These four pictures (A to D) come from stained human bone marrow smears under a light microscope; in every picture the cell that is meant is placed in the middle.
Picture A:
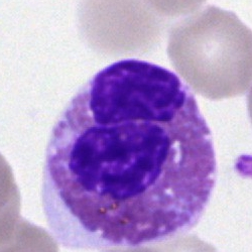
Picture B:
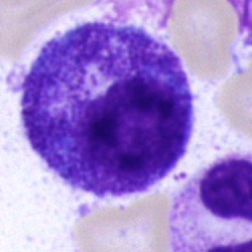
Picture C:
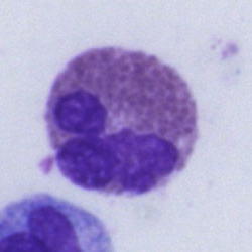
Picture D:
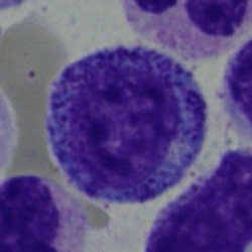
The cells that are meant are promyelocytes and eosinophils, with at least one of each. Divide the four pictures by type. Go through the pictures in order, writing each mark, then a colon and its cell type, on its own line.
A: eosinophil
B: promyelocyte
C: eosinophil
D: promyelocyte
